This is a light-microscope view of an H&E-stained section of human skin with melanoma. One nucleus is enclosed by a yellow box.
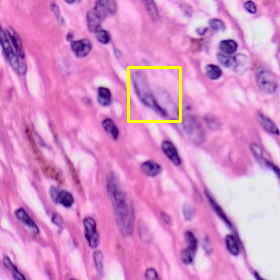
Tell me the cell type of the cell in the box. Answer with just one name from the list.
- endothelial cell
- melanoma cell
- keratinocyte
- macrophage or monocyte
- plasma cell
endothelial cell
